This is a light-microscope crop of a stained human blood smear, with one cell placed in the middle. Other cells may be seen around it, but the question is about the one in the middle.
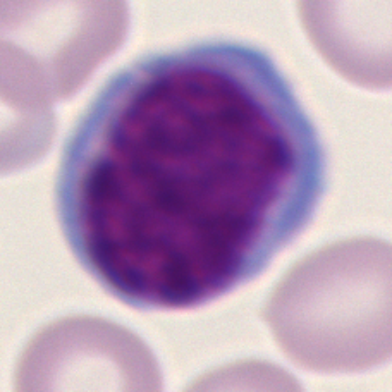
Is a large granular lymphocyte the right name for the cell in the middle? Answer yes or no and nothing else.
no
